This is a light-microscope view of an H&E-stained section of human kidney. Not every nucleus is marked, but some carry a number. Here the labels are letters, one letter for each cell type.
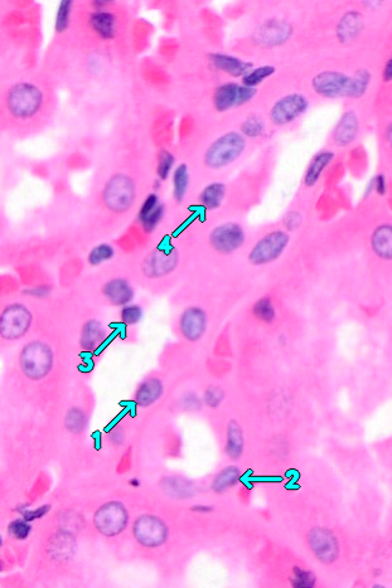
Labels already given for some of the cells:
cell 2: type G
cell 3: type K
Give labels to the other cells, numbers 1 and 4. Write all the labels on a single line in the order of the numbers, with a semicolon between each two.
type K; type G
